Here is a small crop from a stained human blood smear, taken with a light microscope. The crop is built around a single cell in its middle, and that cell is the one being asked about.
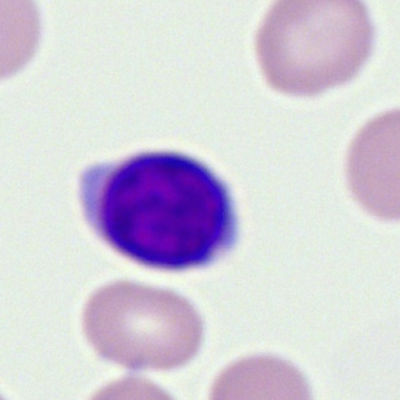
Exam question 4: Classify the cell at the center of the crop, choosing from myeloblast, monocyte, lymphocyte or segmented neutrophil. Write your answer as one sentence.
As for the cell in the middle, it is a lymphocyte.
